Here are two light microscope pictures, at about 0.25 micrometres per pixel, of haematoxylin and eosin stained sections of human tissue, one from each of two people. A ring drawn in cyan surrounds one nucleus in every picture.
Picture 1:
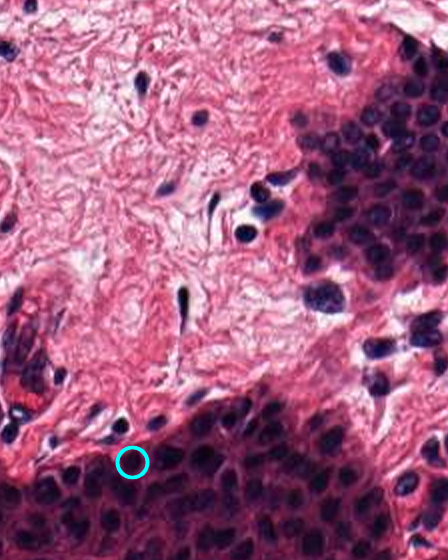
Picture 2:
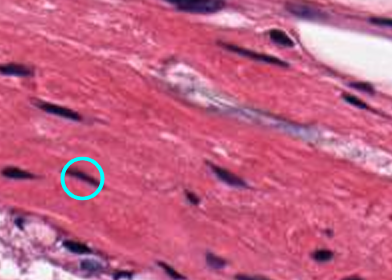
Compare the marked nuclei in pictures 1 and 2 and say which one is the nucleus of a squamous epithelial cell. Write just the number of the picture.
1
